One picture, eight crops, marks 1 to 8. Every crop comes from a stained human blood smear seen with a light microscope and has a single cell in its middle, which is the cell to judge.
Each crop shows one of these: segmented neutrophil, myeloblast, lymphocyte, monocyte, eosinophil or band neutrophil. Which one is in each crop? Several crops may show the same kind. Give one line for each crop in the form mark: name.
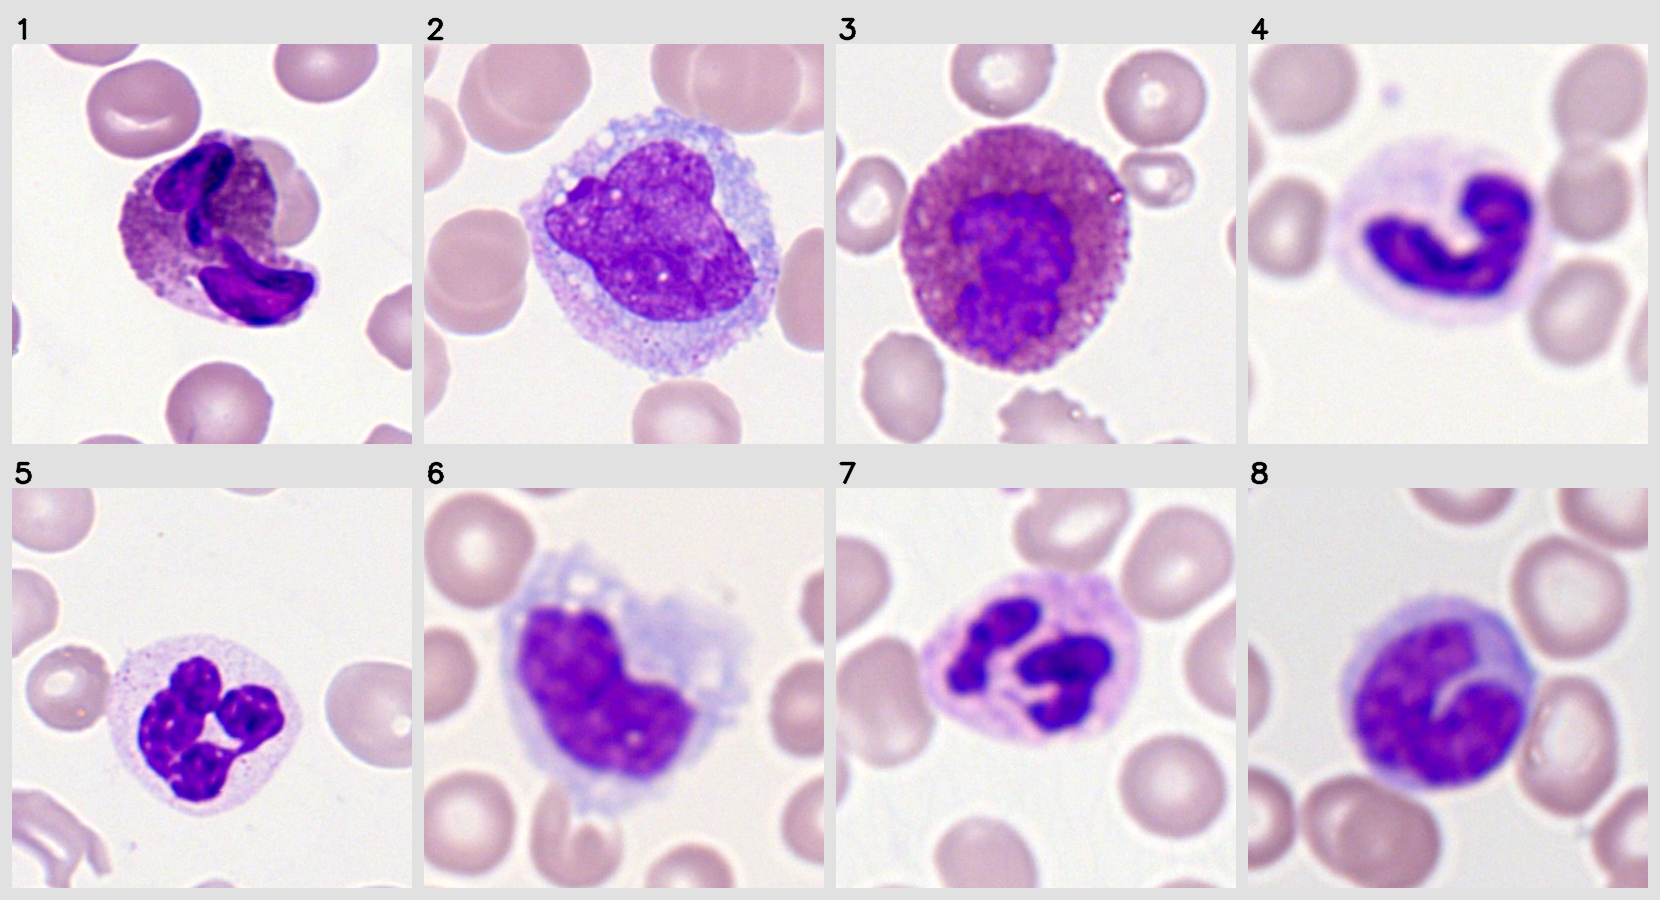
1: eosinophil
2: monocyte
3: eosinophil
4: band neutrophil
5: segmented neutrophil
6: monocyte
7: segmented neutrophil
8: monocyte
